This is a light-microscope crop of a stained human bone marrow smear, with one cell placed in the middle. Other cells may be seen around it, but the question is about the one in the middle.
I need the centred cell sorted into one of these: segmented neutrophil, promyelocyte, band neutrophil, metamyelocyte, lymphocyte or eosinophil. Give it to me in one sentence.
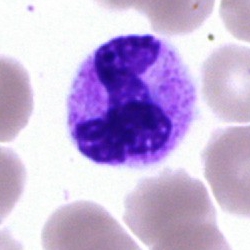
As for the cell in the middle, it is a segmented neutrophil.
